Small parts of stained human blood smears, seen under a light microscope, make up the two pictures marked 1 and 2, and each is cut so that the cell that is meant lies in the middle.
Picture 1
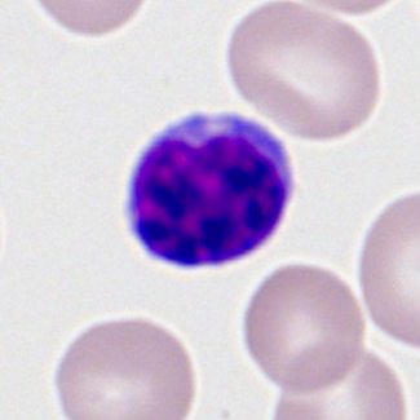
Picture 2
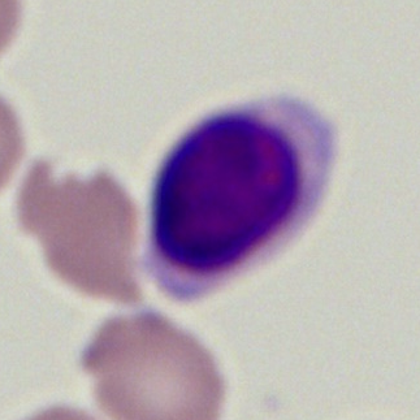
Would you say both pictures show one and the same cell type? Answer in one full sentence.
Yes, the two pictures both show lymphocytes.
